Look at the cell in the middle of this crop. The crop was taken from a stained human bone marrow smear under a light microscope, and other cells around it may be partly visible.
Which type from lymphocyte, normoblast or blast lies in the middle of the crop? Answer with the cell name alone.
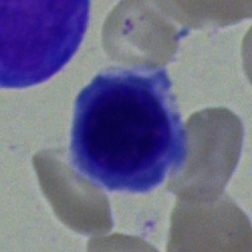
normoblast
